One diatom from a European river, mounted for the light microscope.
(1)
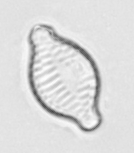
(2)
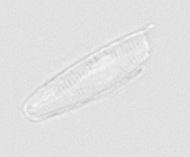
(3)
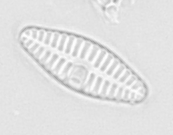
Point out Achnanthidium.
That is picture 2.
